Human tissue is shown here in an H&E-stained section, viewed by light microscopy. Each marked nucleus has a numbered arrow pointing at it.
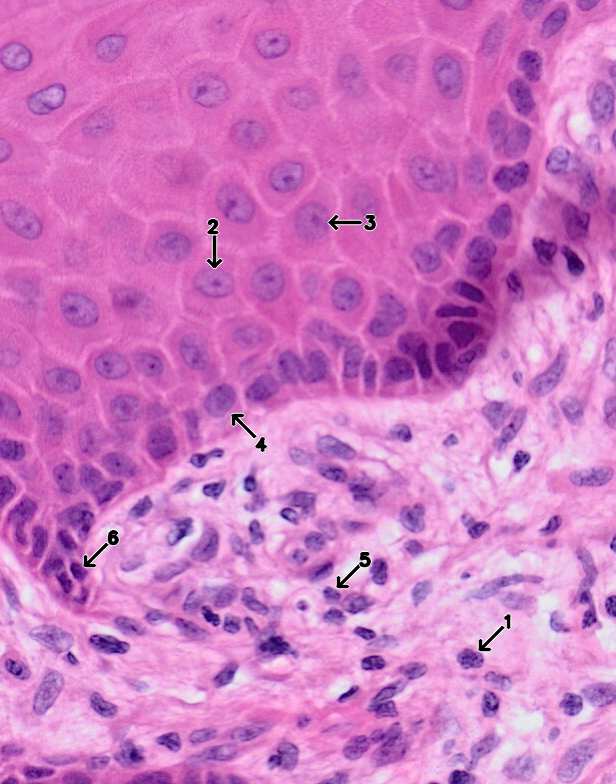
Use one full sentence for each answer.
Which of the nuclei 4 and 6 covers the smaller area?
The smaller nucleus is 6, and 4 covers roughly 4 times its area.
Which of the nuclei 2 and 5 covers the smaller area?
With nucleus 2 about 4 times its size, nucleus 5 is the smaller of the two.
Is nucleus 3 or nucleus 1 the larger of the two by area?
Nucleus 3 covers more area, about 2 times as much as nucleus 1.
